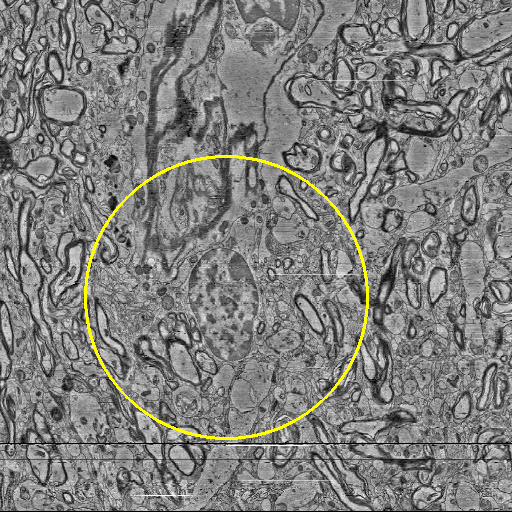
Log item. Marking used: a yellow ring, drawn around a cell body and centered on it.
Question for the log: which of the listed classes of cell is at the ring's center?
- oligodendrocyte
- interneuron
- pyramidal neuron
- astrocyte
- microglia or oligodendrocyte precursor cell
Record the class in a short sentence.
At the center of the ring lies a microglial cell or oligodendrocyte precursor cell.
